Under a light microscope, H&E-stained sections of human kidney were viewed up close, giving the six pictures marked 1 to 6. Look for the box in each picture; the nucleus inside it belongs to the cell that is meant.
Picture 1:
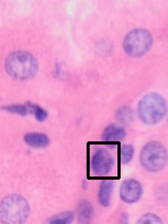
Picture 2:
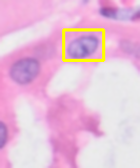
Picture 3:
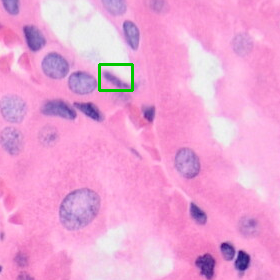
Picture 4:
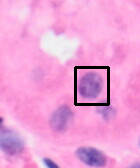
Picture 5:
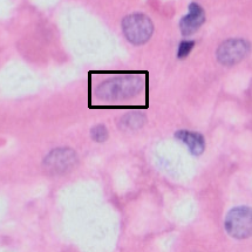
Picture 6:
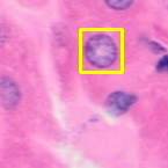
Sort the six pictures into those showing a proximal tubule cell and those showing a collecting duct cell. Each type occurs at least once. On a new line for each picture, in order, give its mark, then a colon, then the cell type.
1: collecting duct cell
2: proximal tubule cell
3: collecting duct cell
4: proximal tubule cell
5: proximal tubule cell
6: proximal tubule cell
